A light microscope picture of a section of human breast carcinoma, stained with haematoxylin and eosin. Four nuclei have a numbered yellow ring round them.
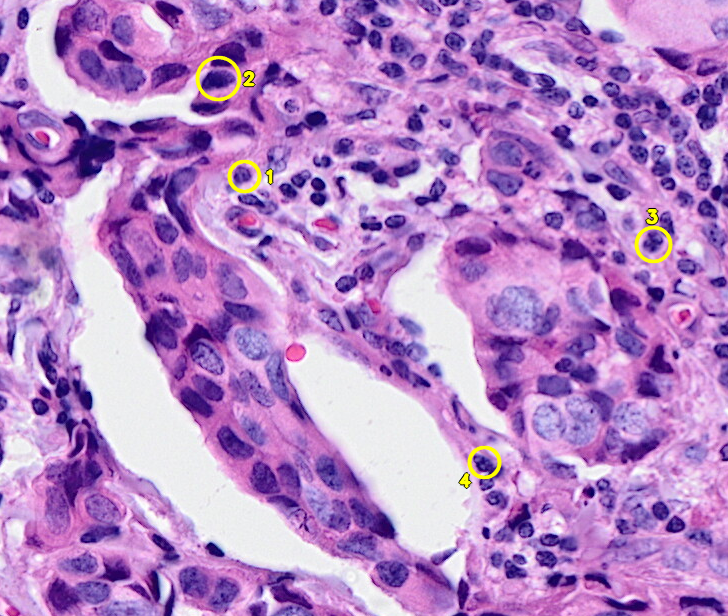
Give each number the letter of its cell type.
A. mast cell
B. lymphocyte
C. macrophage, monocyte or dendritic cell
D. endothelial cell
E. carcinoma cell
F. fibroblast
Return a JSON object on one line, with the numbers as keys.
{"1": "B", "2": "E", "3": "B", "4": "B"}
